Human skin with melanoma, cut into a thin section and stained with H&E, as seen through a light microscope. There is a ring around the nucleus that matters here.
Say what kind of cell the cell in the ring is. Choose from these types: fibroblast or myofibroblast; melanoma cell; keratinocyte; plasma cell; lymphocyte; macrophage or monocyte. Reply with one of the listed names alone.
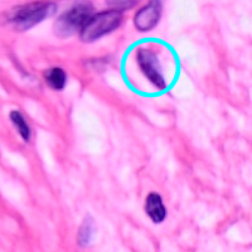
fibroblast or myofibroblast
